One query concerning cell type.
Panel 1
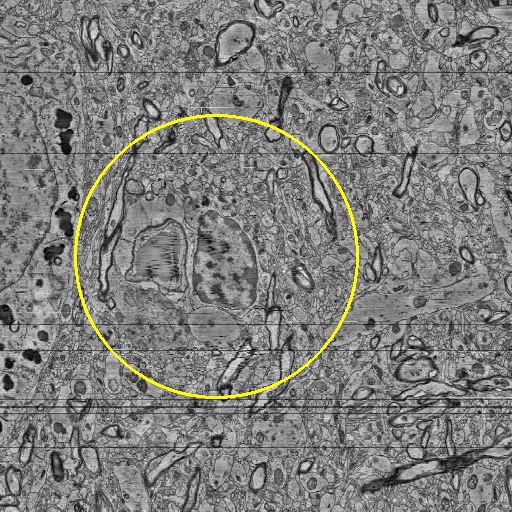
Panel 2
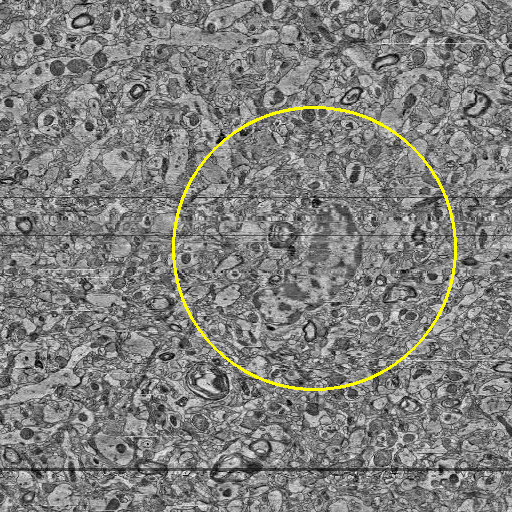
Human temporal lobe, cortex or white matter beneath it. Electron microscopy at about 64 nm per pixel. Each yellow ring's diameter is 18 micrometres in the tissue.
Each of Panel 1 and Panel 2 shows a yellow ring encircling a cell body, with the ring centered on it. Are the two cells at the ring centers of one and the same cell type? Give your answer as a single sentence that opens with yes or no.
Yes, the cell centered in Panel 1 and the one in Panel 2 share a type.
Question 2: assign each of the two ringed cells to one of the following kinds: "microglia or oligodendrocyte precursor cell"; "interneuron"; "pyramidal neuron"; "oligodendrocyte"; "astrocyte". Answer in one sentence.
In each picture the ringed cell is a microglial cell or oligodendrocyte precursor cell.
